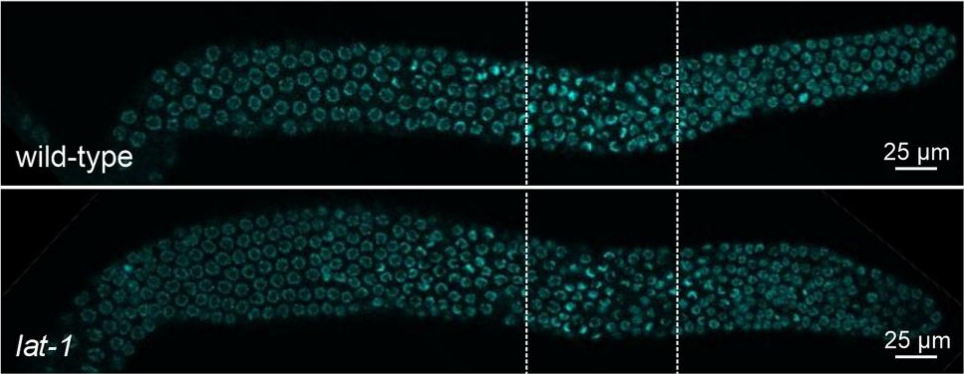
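Two long tubes packed with hundreds of small, round, cyan-stained nuclei, each tube closing in a rounded tip at the right. Toward that tip the nuclei are crowded and evenly stained, in a short middle stretch their stain gathers to one side into crescent-like shapes, and further left they become regular rings lying in orderly rows. This is the distal germline of the gonad, with germ cell nuclei passing from proliferation into meiosis along its length.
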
